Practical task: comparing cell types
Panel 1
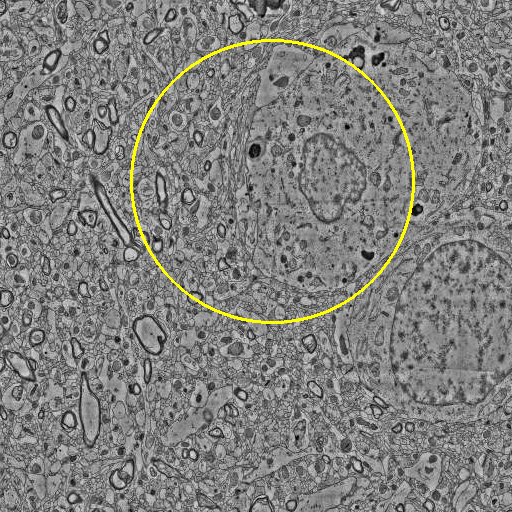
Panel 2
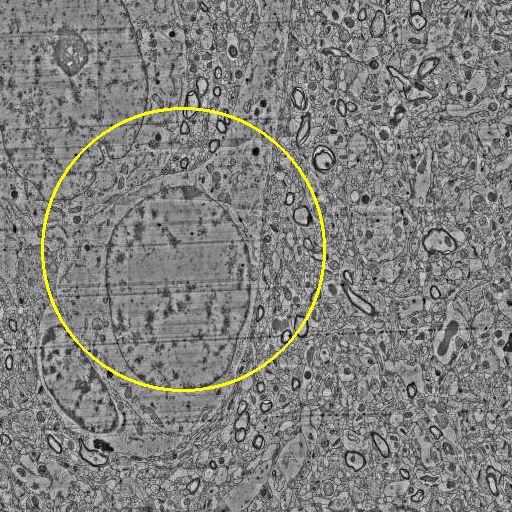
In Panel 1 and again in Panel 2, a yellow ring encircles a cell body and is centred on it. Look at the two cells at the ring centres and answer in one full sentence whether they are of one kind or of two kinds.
The two cells sitting at the ring centres of Panels 1 and 2 are of two kinds.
